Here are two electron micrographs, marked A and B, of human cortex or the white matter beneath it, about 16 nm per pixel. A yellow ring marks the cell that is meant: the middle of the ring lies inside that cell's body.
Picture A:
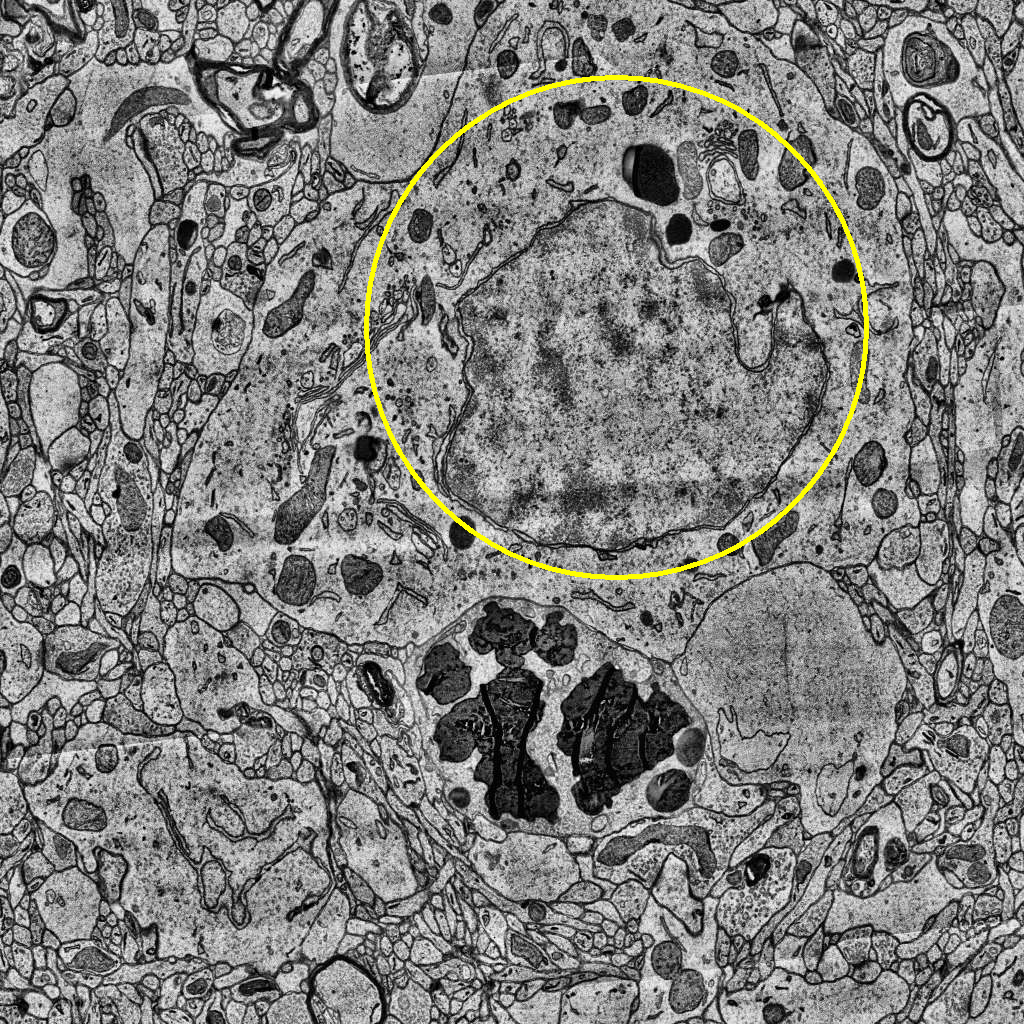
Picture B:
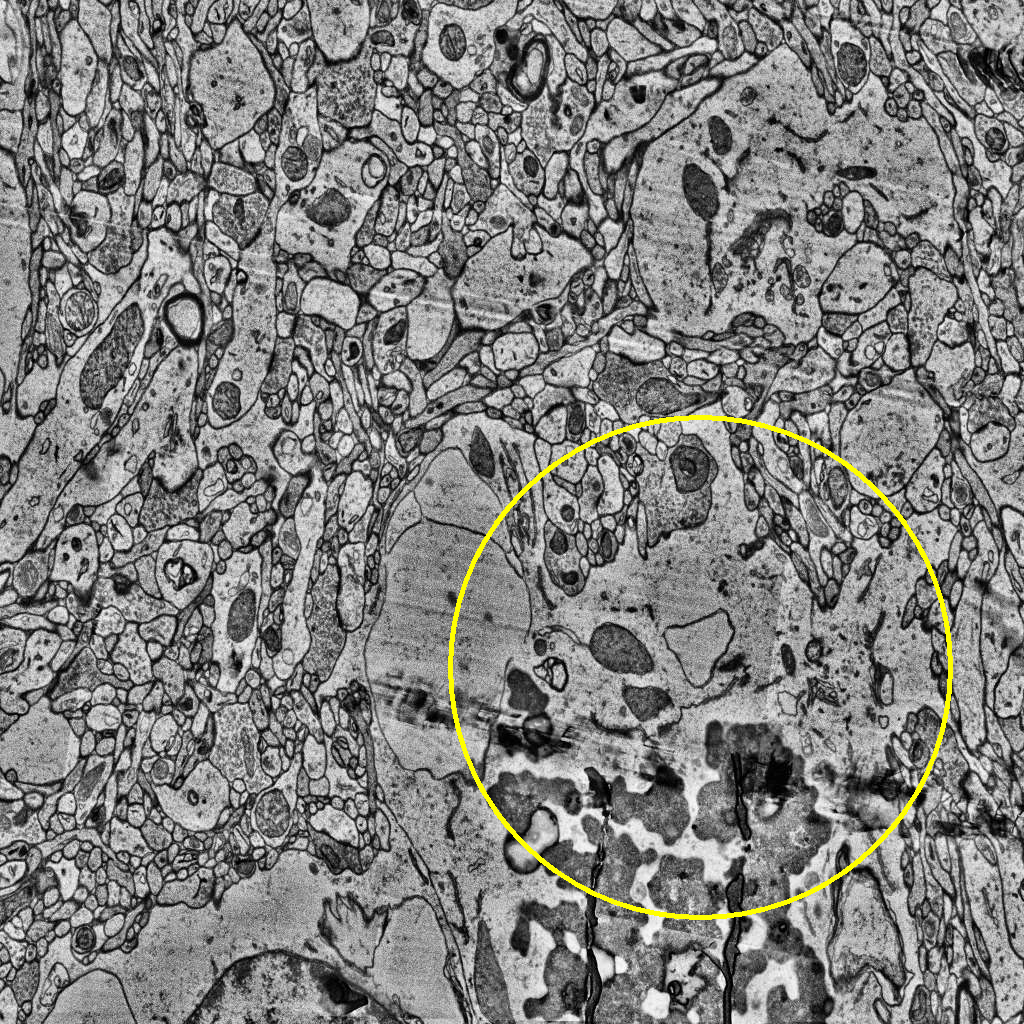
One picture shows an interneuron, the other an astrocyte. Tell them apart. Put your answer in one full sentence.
The cell in picture A is an interneuron, and the one in picture B is an astrocyte.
